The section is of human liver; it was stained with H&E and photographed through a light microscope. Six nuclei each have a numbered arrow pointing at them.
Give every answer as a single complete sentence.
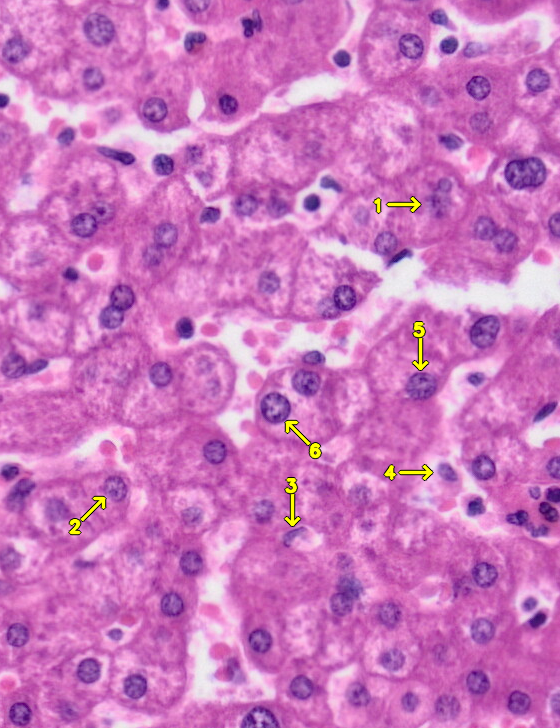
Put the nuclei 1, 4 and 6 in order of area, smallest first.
By area, going up from the smallest, they rank 4, 1, 6.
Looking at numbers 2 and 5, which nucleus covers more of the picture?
It is nucleus 5, which covers about 1.5 times the area of nucleus 2.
